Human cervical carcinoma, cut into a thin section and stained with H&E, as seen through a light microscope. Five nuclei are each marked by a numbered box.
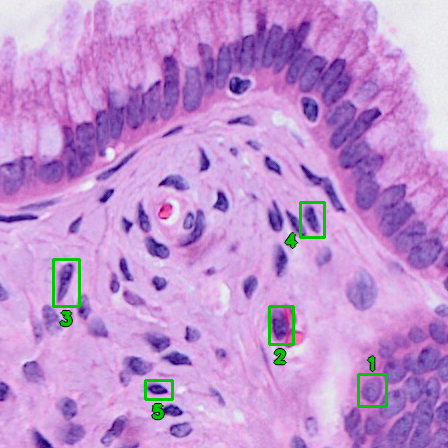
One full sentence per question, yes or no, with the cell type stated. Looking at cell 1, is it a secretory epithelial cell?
Yes, the cell at number 1 is a secretory epithelial cell.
